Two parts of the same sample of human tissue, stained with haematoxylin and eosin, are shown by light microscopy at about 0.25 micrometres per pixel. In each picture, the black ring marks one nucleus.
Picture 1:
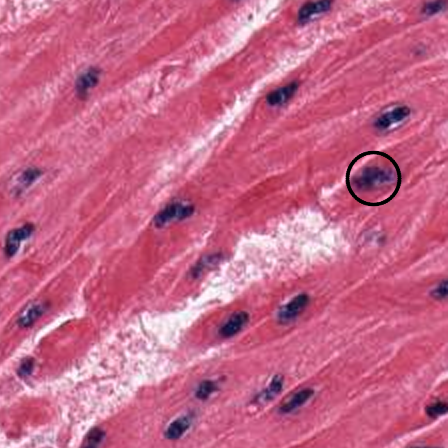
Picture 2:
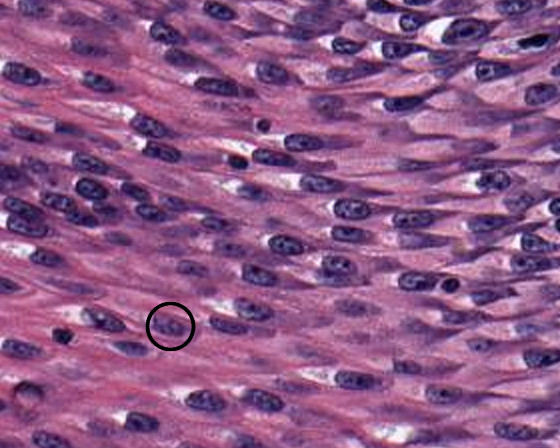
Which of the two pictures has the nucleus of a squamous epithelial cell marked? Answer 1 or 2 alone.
2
